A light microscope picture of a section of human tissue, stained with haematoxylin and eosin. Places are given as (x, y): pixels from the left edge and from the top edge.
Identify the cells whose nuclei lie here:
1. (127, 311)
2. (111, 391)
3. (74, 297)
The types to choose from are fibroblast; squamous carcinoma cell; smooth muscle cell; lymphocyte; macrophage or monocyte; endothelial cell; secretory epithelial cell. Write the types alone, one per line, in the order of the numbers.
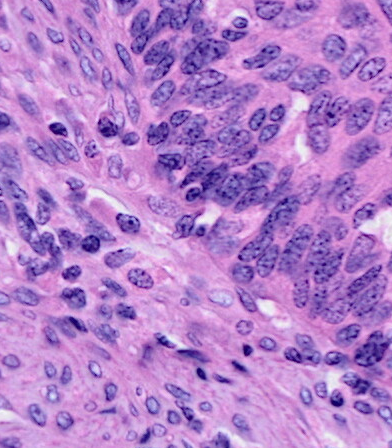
lymphocyte
smooth muscle cell
lymphocyte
